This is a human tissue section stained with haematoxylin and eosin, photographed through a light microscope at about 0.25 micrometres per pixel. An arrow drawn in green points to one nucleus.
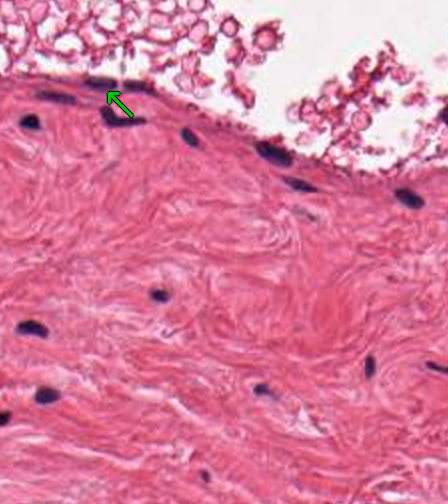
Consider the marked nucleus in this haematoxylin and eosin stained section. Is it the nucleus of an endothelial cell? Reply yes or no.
yes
